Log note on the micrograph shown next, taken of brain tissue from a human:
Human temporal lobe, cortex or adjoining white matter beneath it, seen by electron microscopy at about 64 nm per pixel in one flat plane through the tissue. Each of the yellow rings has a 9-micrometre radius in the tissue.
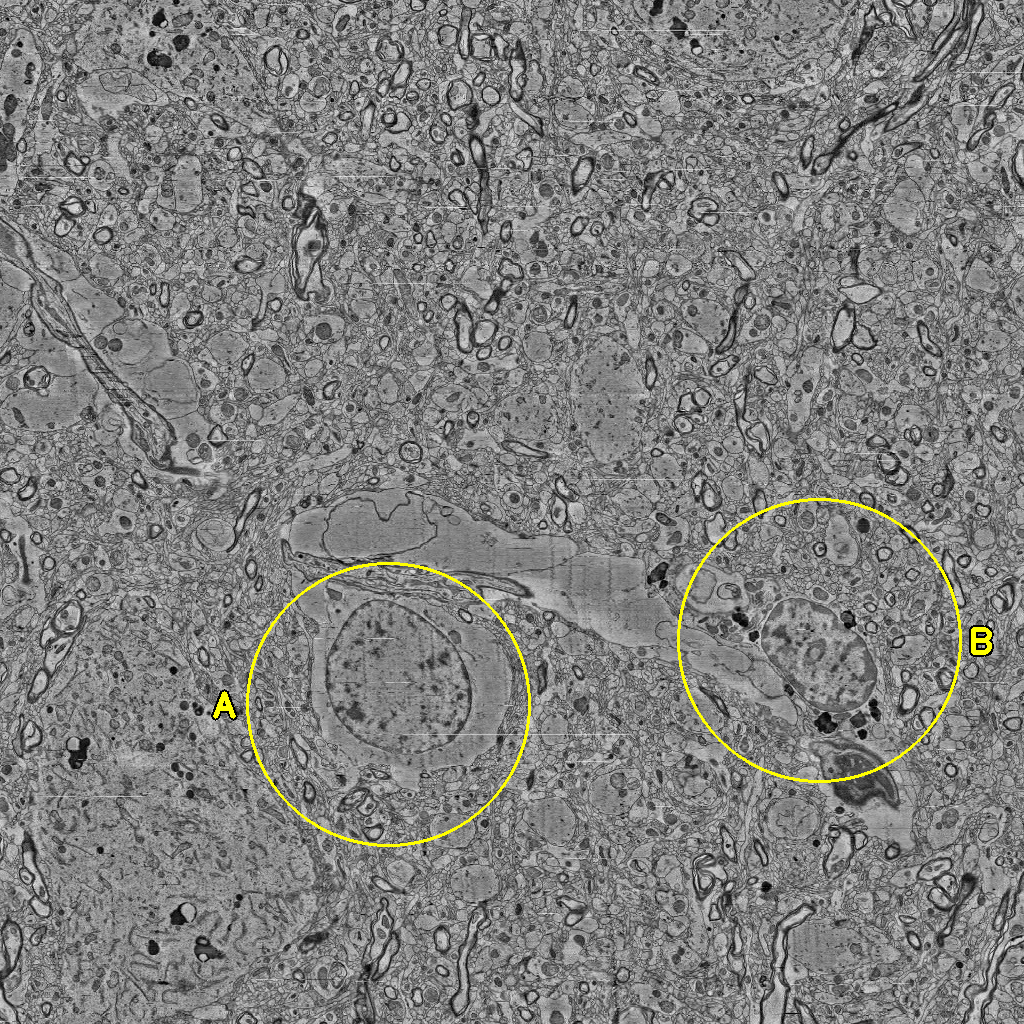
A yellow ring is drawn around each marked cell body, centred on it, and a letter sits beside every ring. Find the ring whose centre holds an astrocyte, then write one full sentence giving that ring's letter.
In the picture, the cell asked for sits at the centre of ring A.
